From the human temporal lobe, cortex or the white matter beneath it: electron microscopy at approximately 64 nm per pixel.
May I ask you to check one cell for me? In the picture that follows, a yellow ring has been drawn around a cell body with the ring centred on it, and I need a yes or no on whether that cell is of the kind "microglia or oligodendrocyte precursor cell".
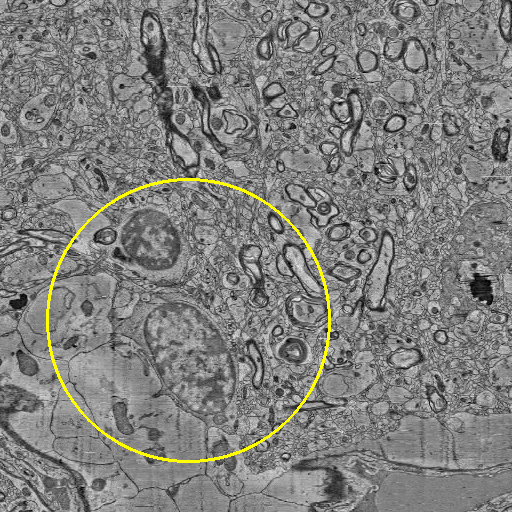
No, it is some other kind of cell.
